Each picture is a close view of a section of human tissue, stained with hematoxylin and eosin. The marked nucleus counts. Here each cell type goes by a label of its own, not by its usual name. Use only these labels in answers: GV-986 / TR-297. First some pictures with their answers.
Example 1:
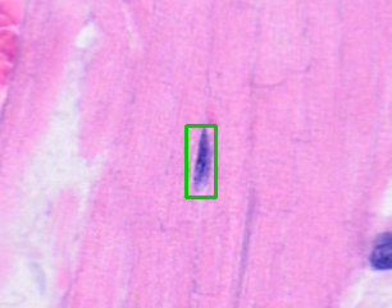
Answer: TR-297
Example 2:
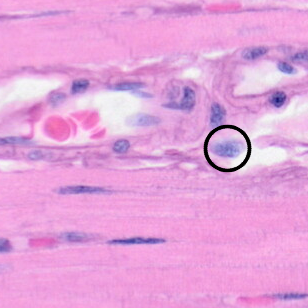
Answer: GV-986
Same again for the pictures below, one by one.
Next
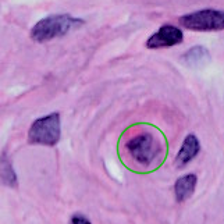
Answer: TR-297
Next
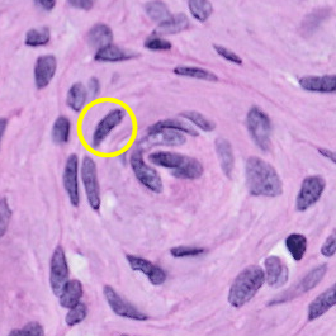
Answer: GV-986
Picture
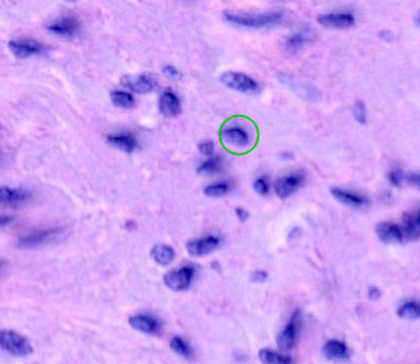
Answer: GV-986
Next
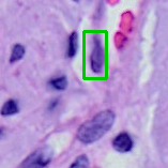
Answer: TR-297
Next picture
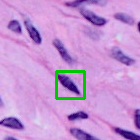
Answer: GV-986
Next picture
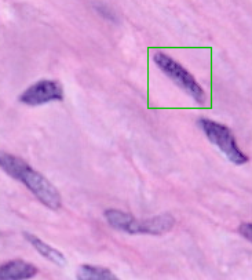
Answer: GV-986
